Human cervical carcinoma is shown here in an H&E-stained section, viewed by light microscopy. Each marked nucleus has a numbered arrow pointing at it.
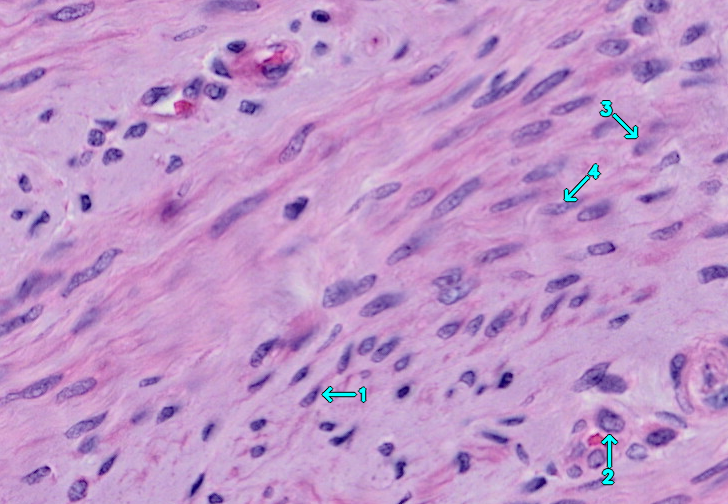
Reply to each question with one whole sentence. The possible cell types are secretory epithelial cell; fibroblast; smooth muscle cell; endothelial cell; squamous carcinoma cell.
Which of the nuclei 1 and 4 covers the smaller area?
Nucleus 1 covers less area, with nucleus 4 about 2.5 times as large.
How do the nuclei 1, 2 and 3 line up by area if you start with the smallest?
The order from the smallest nucleus to the largest is 1, 3, 2.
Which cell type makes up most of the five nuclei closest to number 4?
Of the five nuclei nearest to number 4, most belong to smooth muscle cells.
